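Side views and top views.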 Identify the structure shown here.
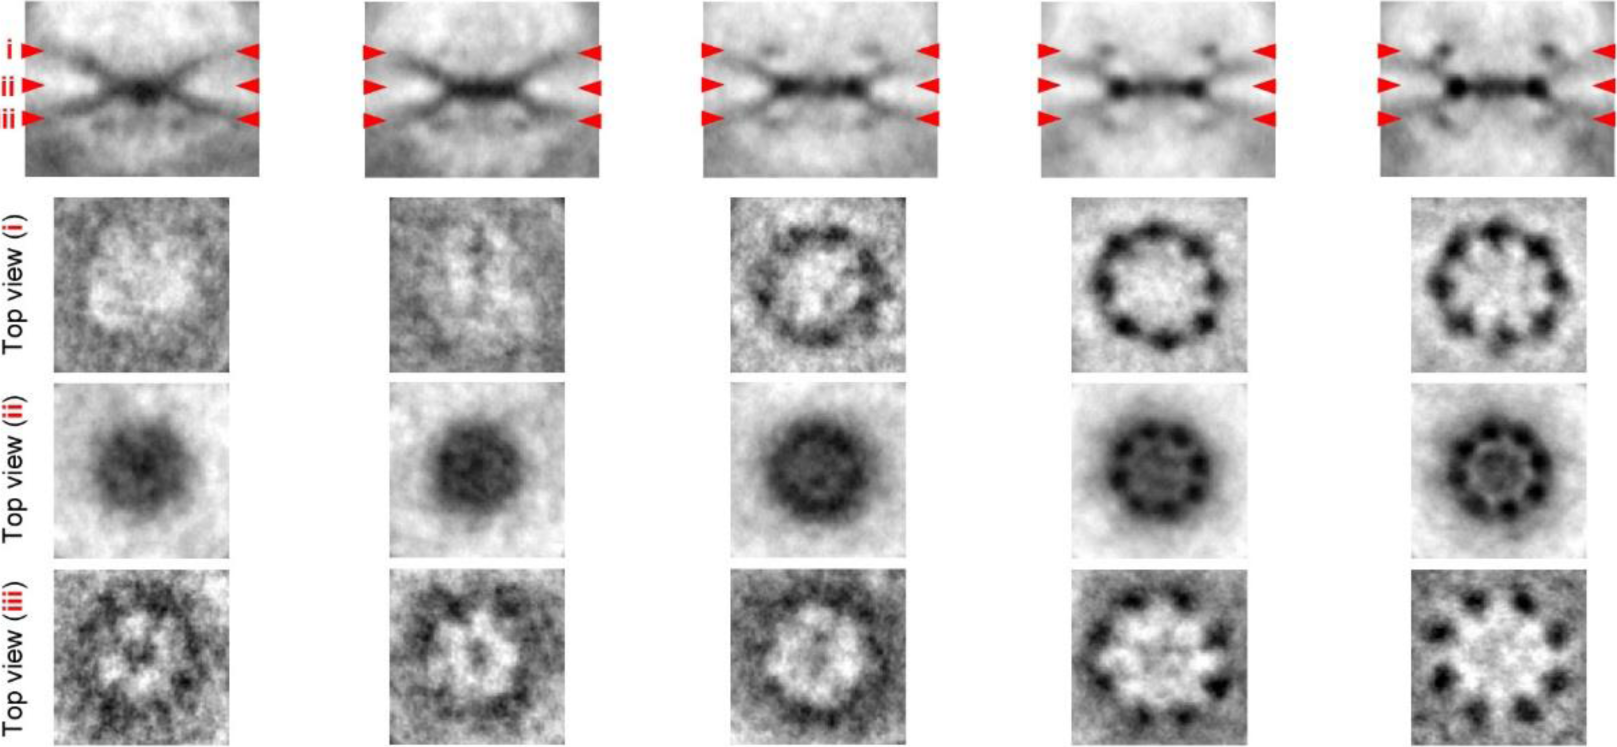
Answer: Nuclear pores.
